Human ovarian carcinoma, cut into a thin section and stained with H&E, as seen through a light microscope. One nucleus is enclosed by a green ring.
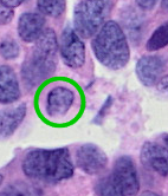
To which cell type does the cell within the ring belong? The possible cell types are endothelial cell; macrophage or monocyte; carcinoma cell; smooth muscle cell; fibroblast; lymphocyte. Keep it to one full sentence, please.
Students should answer that the cell within the ring is a macrophage or monocyte.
